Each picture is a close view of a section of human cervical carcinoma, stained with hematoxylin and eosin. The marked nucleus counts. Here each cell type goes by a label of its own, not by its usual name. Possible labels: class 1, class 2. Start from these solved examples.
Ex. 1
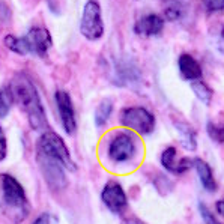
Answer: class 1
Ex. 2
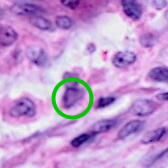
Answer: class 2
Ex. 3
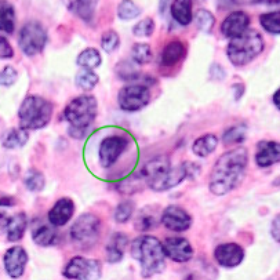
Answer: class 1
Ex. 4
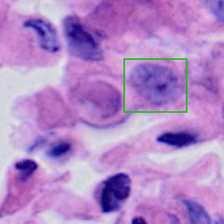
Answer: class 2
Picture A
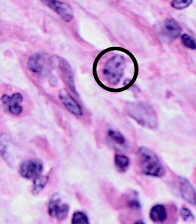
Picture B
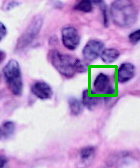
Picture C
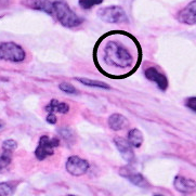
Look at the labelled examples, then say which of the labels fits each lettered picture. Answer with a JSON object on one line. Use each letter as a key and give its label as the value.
{"A": "class 2", "B": "class 1", "C": "class 2"}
